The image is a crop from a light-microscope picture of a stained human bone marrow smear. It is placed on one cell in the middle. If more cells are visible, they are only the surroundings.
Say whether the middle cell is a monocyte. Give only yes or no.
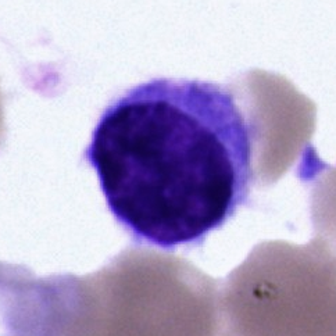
no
